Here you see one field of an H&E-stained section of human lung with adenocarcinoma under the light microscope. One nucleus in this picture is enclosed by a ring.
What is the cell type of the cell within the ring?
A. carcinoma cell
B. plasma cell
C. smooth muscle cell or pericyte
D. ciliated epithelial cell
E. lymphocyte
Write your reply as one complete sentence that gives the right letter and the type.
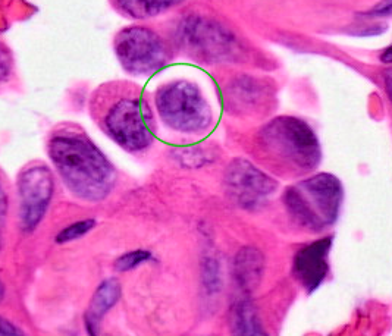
Here the right answer is A, with the cell within the ring being a carcinoma cell.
